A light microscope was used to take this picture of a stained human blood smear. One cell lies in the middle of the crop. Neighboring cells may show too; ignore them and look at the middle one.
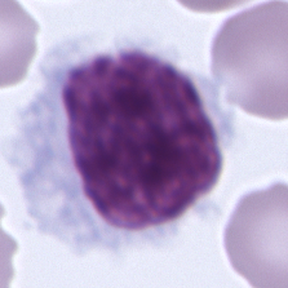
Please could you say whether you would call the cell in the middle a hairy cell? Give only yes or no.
yes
